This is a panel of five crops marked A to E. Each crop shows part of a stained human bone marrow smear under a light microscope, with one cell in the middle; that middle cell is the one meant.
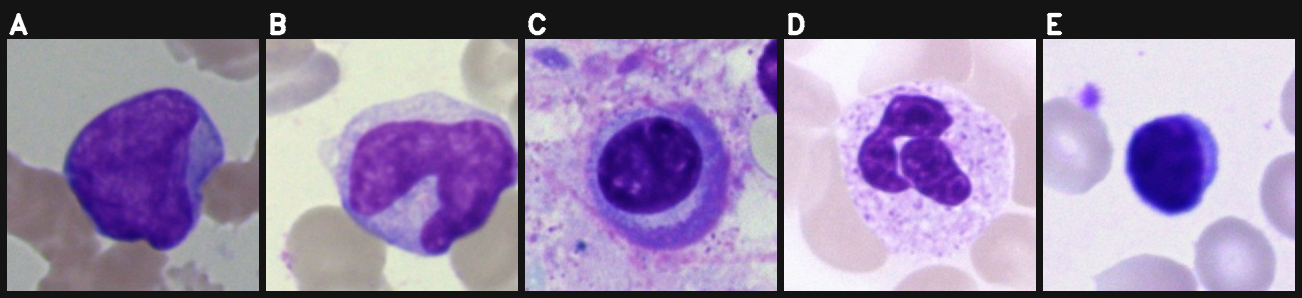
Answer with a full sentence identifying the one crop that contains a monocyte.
Here the crop that shows a monocyte is crop B.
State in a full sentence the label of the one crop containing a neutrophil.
Within this set, crop D is the one with a neutrophil at its center.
